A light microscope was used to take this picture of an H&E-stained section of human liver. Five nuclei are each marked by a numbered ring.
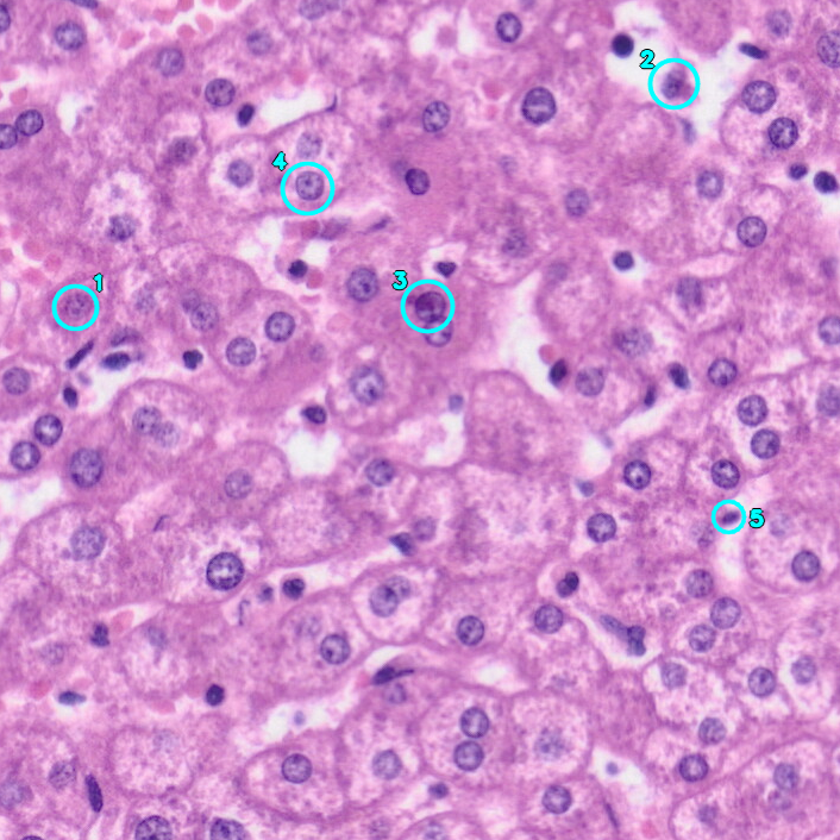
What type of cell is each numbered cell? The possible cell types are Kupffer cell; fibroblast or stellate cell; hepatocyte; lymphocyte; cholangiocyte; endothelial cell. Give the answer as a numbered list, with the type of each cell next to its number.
1. hepatocyte
2. Kupffer cell
3. hepatocyte
4. hepatocyte
5. lymphocyte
